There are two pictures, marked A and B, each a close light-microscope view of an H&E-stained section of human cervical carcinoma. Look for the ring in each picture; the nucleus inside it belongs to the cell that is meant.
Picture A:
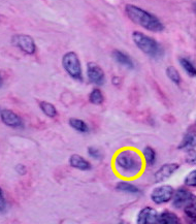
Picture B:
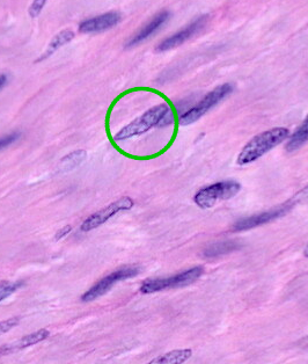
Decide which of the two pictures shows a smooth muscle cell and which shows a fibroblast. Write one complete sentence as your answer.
It is picture A that shows a smooth muscle cell, and picture B that shows a fibroblast.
